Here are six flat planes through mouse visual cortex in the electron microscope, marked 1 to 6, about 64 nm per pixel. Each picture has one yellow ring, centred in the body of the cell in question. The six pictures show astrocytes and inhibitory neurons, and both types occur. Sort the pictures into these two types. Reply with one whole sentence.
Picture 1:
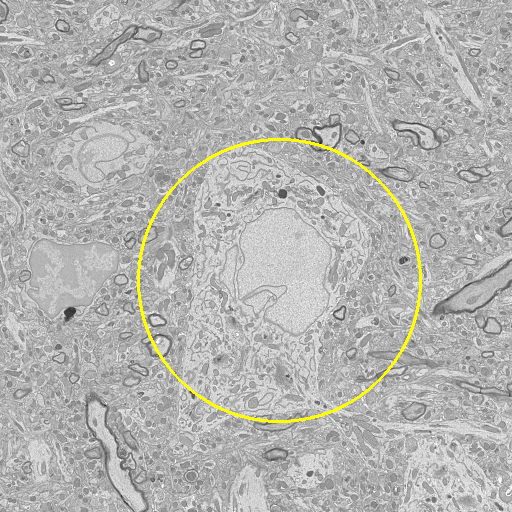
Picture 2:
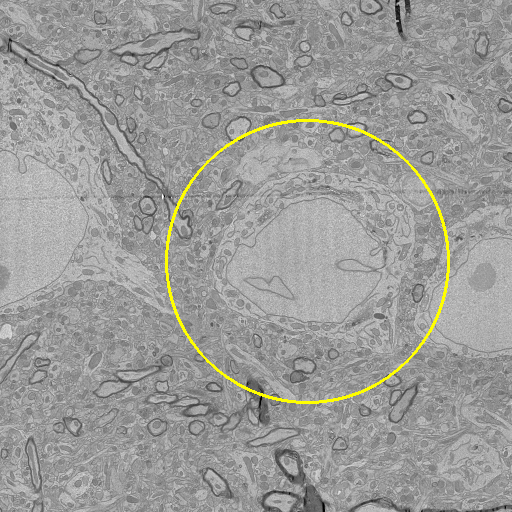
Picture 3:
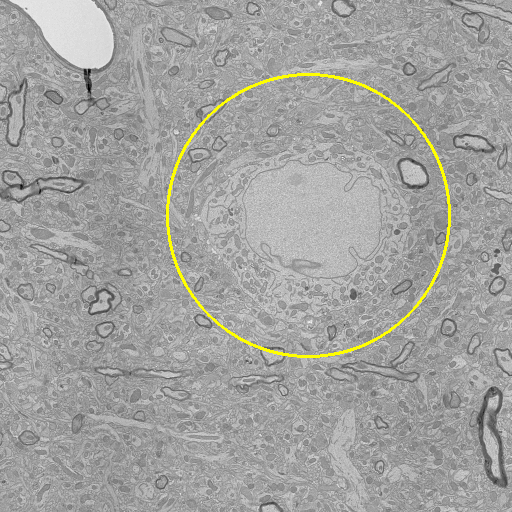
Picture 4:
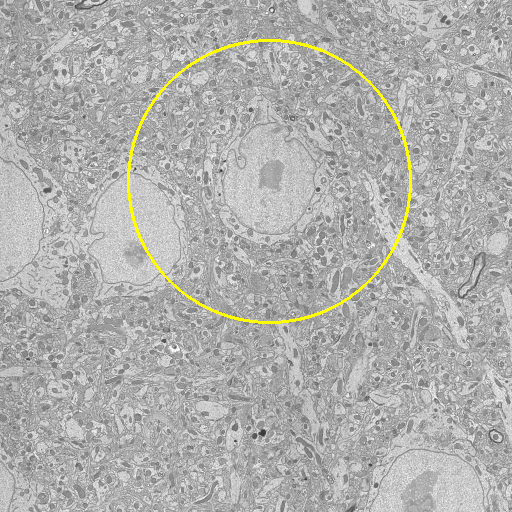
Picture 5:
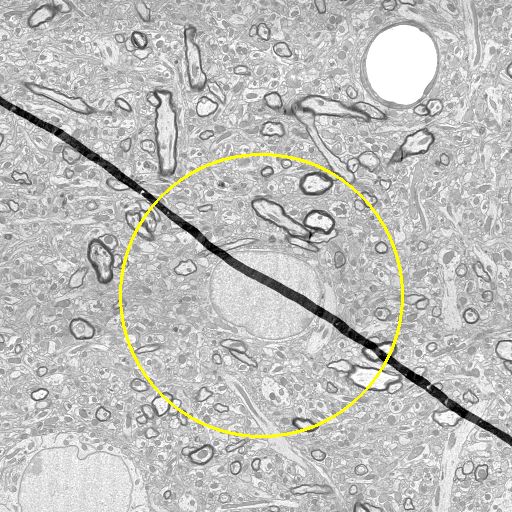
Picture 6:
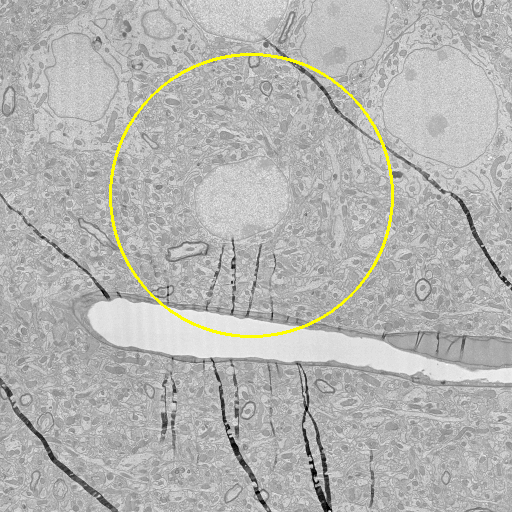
Pictures 5 and 6 show astrocytes, and pictures 1, 2, 3 and 4 show inhibitory neurons.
